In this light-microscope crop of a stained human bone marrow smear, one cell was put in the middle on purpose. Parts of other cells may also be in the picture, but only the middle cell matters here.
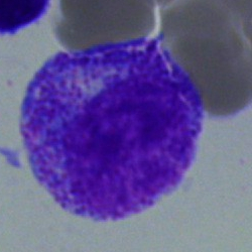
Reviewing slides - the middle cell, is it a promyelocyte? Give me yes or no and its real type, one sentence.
Yes, the middle cell is properly termed a promyelocyte.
